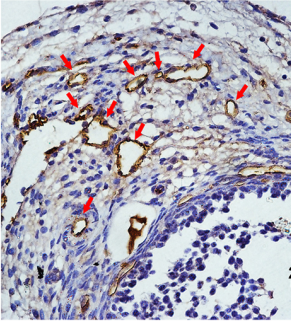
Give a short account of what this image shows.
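Ovarian tissue with many small microvessels, each a ring of brown-stained flattened cells around a narrow lumen, scattered through loose stroma. Below them lies a dense layer of small cells with round blue nuclei bordering a clear space.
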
